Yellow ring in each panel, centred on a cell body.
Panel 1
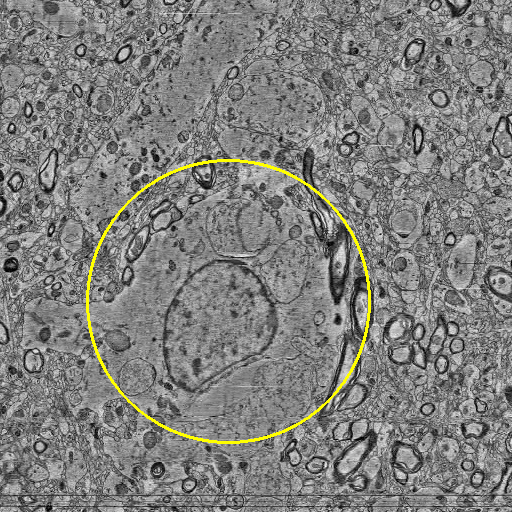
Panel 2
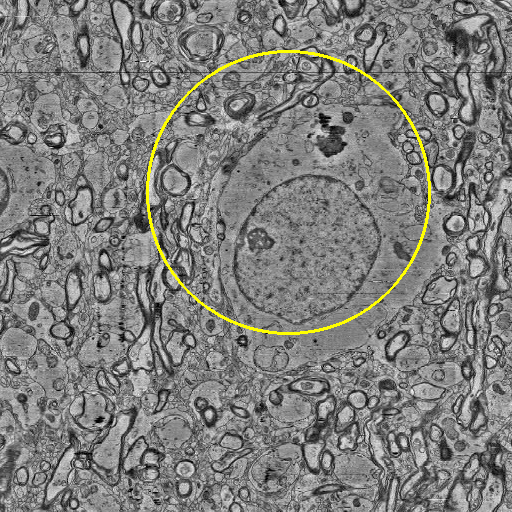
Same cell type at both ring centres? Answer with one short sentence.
Yes, both cells are of the same type.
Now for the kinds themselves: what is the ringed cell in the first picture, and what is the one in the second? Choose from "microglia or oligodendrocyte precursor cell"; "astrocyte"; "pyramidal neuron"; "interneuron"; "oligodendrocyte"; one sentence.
Each of the two rings is centred on an astrocyte.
